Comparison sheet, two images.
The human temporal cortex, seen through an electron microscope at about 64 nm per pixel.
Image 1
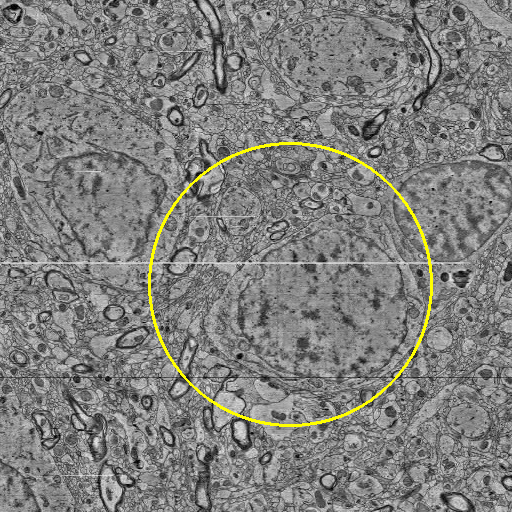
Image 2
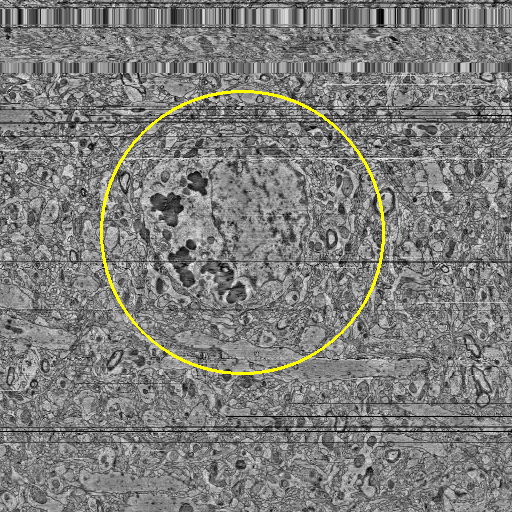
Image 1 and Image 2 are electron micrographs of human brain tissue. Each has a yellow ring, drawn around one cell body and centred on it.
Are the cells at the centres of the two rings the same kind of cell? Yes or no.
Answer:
yes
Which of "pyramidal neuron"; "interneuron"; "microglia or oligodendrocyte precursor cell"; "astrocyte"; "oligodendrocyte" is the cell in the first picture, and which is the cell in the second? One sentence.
Each of the two rings surrounds an interneuron.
